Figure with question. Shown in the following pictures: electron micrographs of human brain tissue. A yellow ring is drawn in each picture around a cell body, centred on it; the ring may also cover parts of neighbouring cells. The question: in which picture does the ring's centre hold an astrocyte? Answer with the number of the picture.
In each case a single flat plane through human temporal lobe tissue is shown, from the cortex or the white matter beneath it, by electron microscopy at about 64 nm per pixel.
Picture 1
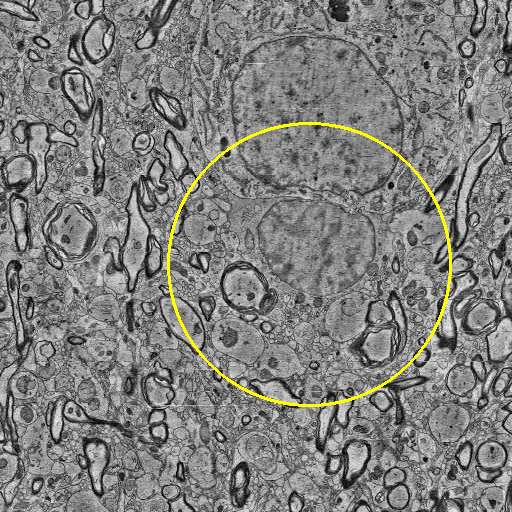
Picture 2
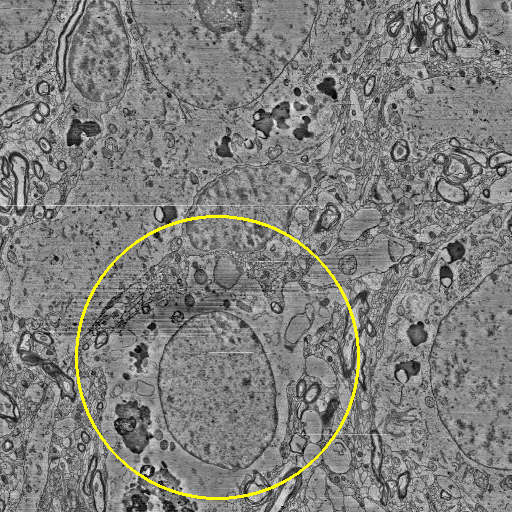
2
